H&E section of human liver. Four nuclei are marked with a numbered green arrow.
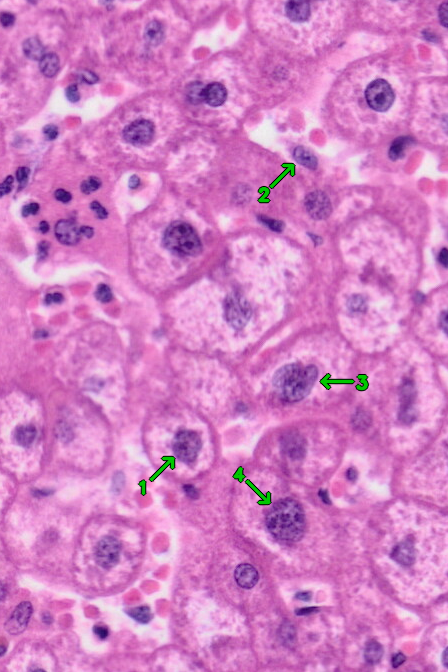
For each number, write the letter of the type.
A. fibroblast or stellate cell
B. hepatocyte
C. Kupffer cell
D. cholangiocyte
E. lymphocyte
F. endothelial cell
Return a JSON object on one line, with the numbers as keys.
{"1": "B", "2": "C", "3": "B", "4": "B"}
